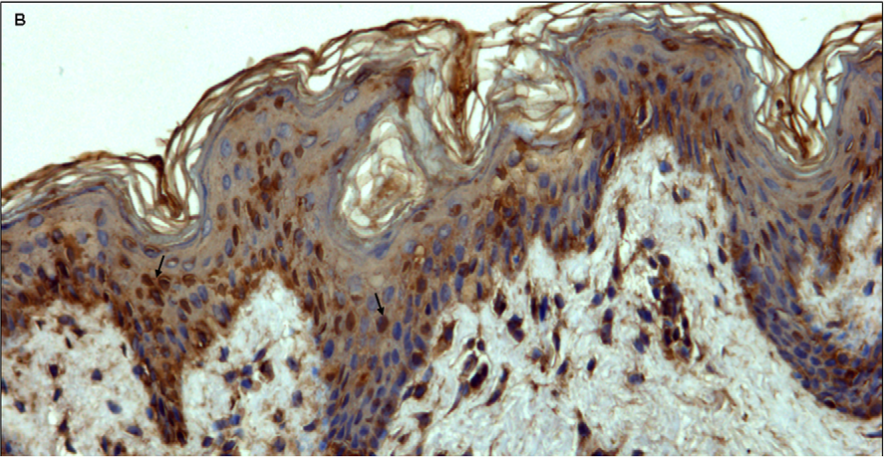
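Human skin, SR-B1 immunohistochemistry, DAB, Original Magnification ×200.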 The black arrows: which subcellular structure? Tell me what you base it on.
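Nuclei of keratinocytes. The arrows point at brown-stained nuclei in the lower layers of a stratified squamous epithelium. A layered cornified layer lies at the surface above the nucleated cells.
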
